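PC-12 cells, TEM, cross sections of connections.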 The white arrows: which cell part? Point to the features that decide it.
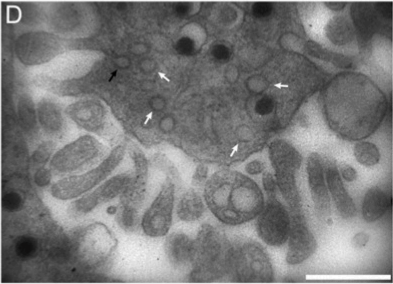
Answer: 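Small round membrane-bound profiles lie in the cytoplasm at the arrow tips. The profiles are much smaller than the surrounding cell processes.
Answer: vesicles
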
